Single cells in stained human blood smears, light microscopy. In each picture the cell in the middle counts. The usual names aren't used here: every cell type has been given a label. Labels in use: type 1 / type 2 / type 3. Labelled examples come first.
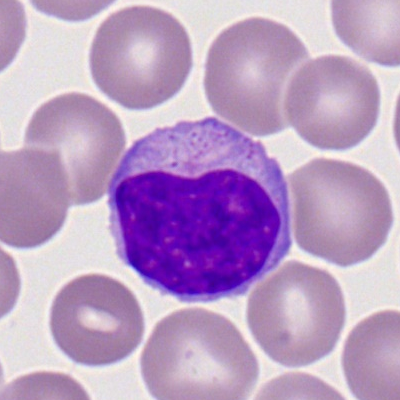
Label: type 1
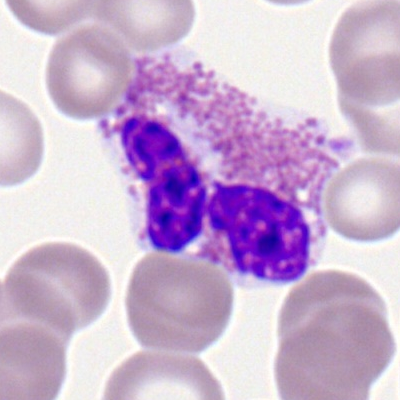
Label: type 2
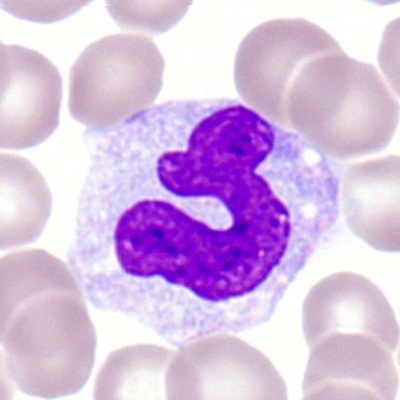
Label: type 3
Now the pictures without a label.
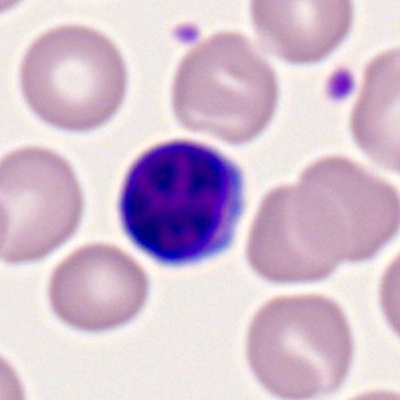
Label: type 1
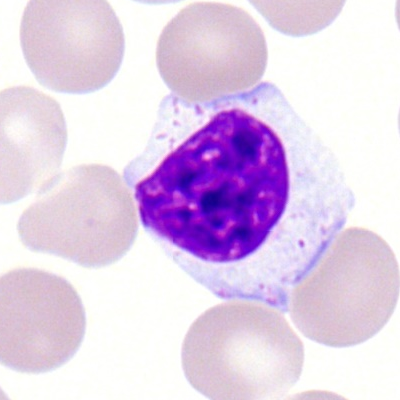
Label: type 1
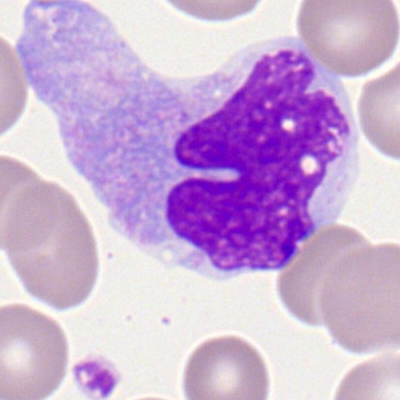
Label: type 3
